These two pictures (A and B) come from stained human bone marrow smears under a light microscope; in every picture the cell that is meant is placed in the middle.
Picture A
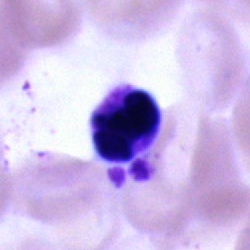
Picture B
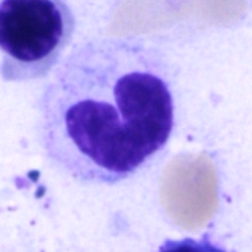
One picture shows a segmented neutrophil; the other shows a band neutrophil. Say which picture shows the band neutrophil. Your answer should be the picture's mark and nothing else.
B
